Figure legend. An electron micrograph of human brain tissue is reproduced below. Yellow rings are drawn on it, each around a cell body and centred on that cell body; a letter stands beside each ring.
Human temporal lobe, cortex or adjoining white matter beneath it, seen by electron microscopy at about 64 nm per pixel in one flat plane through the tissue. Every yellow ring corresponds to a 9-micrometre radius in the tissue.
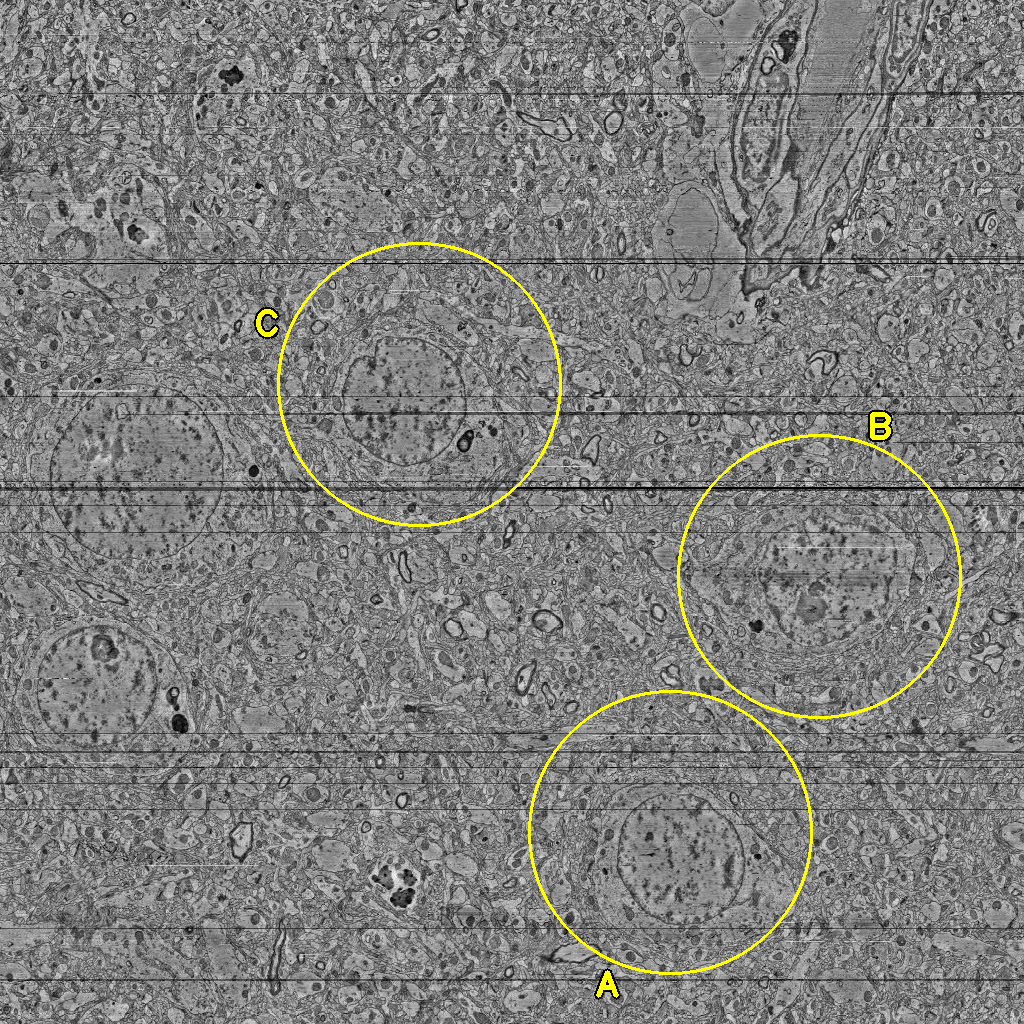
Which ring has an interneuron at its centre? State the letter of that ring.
B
